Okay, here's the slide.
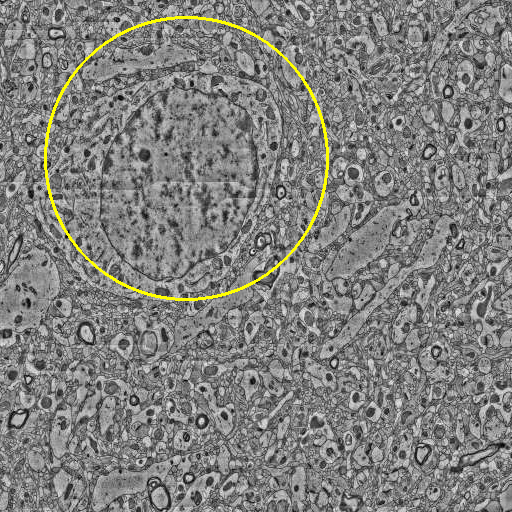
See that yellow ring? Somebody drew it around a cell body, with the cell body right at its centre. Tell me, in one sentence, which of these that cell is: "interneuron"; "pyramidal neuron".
The cell in the middle of the ring is an interneuron.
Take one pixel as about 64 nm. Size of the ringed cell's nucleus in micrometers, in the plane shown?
In this plane, about 13 micrometres in length and 10 in width.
